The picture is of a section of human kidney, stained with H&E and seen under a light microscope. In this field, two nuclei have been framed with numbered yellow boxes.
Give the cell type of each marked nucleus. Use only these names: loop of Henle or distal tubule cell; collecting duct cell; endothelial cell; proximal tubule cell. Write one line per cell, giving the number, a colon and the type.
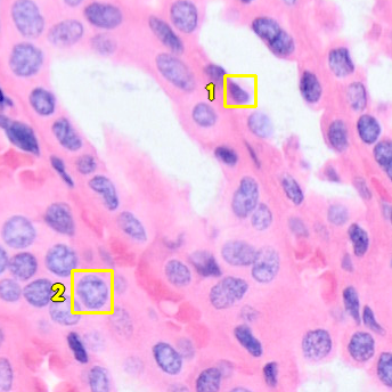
1: loop of Henle or distal tubule cell
2: collecting duct cell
